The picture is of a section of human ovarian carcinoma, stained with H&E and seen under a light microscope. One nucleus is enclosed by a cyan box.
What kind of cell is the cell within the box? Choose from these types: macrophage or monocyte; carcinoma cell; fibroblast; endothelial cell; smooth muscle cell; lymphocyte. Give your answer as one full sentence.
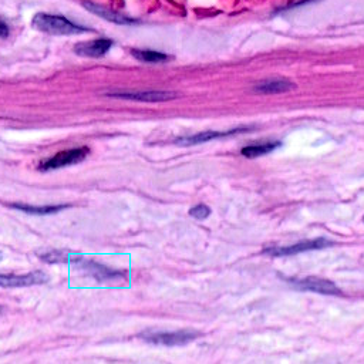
This is a fibroblast.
